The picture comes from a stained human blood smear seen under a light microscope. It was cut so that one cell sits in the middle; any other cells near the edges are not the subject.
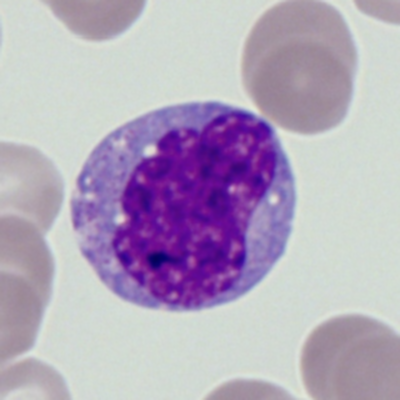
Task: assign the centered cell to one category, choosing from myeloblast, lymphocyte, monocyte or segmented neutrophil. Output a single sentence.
In this crop, the cell at the very middle is a monocyte.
